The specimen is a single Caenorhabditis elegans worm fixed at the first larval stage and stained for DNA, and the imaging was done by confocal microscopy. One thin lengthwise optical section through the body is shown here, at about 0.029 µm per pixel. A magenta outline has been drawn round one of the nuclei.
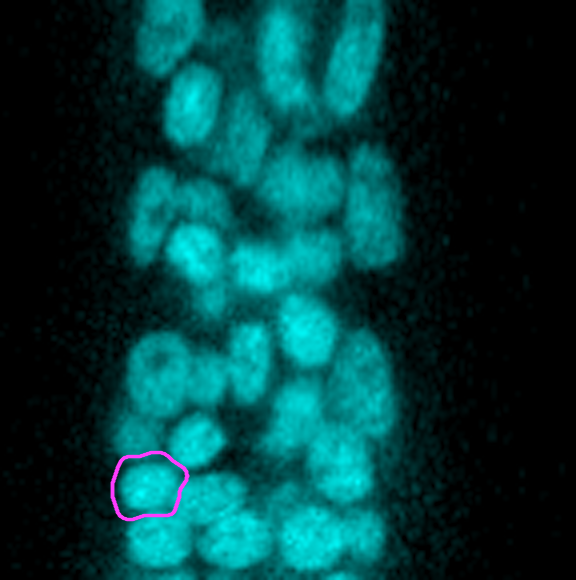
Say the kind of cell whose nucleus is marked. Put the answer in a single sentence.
It is the nucleus of a neuron.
